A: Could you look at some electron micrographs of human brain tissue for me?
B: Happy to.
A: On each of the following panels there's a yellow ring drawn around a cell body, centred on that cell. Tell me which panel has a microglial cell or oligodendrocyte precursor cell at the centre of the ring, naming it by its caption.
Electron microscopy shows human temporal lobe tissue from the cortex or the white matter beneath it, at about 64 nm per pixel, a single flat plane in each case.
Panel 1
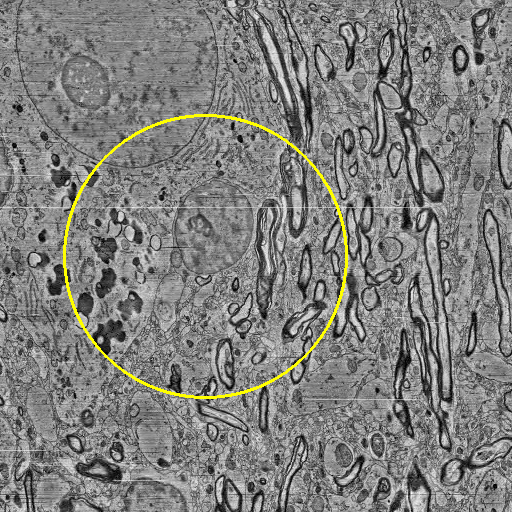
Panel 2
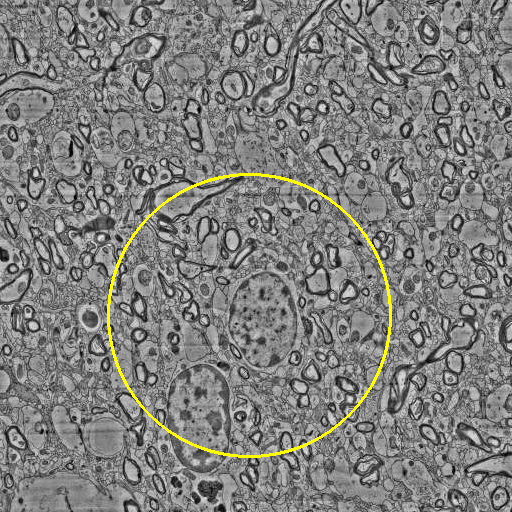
Panel 2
